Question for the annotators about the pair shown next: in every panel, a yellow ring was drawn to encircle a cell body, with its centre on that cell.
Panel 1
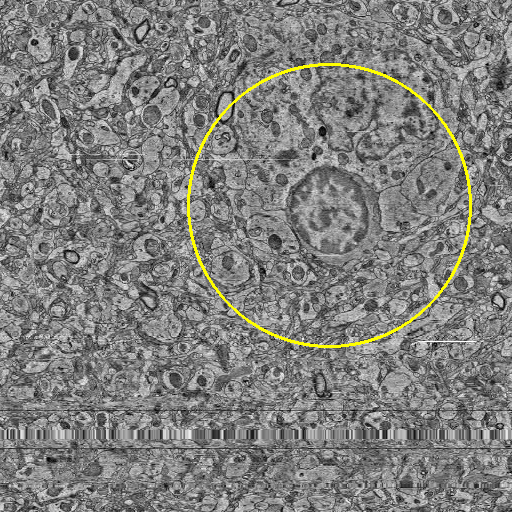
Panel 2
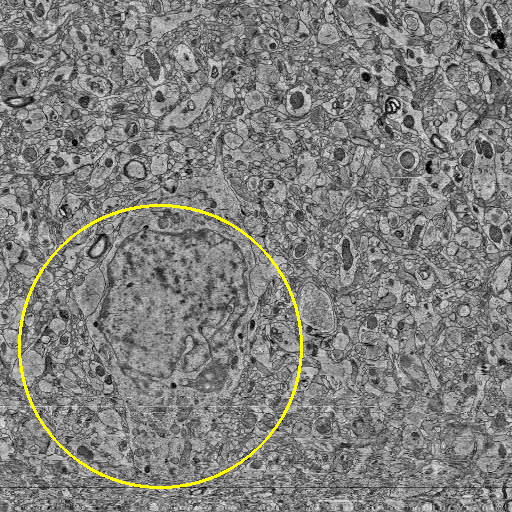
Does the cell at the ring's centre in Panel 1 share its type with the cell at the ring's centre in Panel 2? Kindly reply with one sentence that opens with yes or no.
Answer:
No, in Panels 1 and 2 the cells at the ring centres belong to separate types.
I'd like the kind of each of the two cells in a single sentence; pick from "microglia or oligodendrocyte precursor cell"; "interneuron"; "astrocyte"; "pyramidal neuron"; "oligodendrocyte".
The first ring marks an oligodendrocyte, and the second ring marks an interneuron.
